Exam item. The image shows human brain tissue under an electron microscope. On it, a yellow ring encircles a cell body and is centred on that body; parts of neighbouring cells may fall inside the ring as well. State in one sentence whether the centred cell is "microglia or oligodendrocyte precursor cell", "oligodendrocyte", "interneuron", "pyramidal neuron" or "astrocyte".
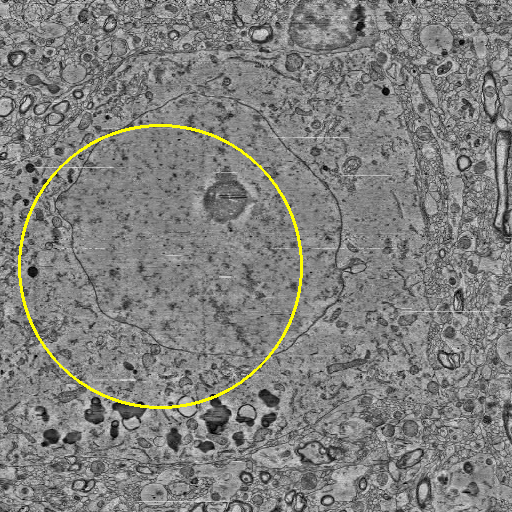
The cell body centred in the ring is a pyramidal neuron.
